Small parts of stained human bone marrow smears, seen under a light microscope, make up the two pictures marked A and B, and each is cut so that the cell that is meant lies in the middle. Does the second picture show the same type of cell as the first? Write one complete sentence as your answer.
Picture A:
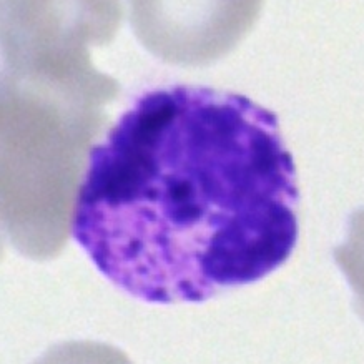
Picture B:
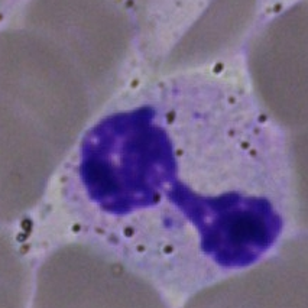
No. Picture A shows a basophil, but picture B shows a segmented neutrophil.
